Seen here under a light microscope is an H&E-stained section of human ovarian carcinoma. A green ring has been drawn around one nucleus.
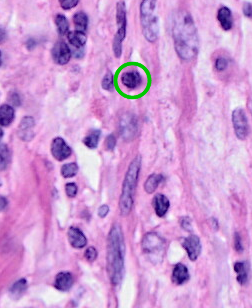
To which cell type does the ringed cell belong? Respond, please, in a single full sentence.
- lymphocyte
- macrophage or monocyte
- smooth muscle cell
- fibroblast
Right, so the ringed cell is a lymphocyte, to answer that.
